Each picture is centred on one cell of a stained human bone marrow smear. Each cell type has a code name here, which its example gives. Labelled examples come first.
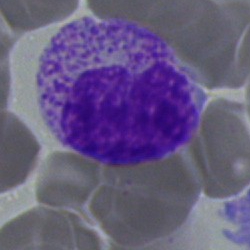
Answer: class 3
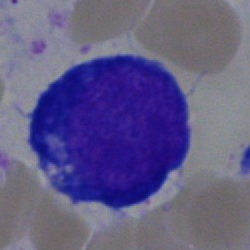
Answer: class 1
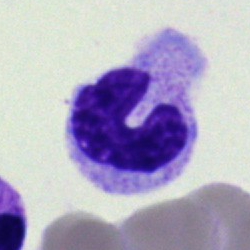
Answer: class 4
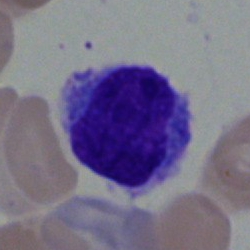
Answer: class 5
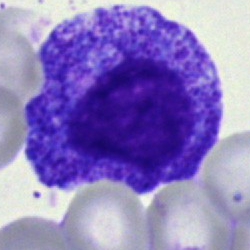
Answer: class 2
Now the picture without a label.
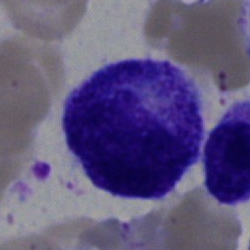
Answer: class 2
